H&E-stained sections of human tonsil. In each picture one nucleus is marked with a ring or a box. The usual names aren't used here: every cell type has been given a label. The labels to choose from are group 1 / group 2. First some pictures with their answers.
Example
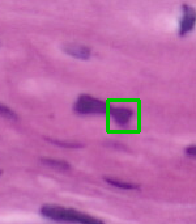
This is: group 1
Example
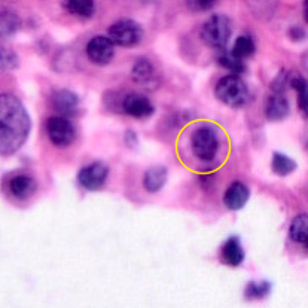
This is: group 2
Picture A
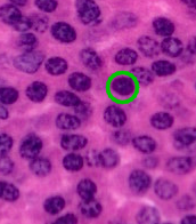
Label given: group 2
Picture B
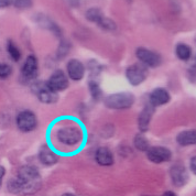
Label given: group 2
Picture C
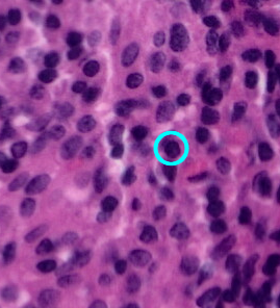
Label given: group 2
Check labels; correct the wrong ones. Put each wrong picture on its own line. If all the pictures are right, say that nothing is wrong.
None of the labels needs changing.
